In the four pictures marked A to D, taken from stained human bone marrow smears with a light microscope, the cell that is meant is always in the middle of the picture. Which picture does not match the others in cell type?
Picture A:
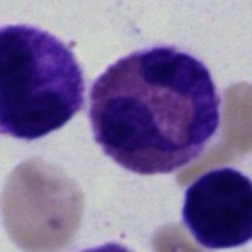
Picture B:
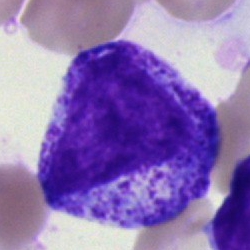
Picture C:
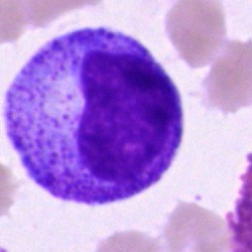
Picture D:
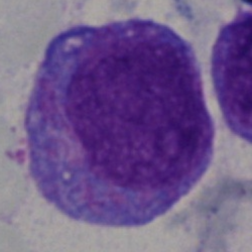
A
